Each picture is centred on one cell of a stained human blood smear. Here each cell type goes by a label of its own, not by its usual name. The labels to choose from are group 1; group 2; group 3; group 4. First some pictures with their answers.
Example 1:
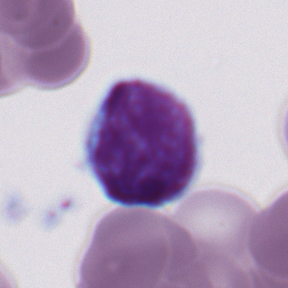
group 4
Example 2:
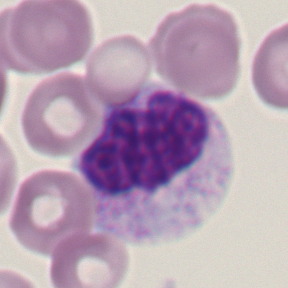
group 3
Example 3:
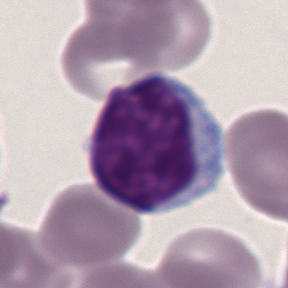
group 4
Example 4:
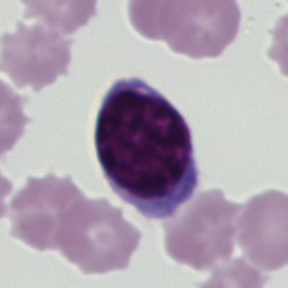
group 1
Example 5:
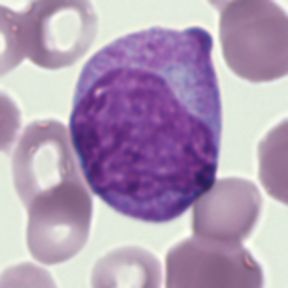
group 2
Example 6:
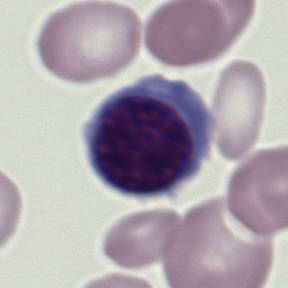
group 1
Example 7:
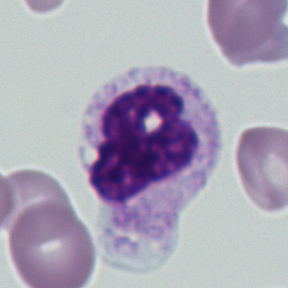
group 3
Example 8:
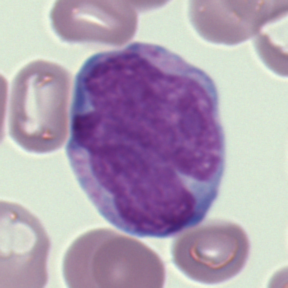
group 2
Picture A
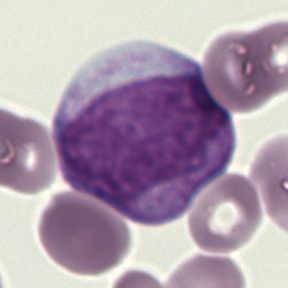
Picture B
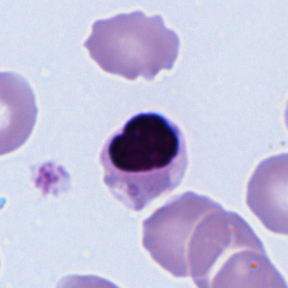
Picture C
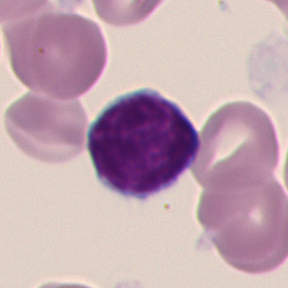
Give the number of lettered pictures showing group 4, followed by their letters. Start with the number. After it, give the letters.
1, namely C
